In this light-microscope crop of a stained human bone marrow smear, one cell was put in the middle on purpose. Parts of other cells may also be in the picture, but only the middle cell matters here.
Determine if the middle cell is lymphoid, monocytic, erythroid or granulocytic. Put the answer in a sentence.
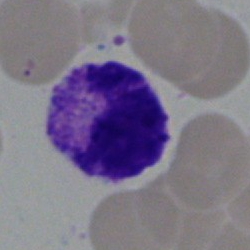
The middle cell of the crop belongs with the cells of the granulocytic lineage.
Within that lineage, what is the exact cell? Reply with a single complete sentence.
The middle of this crop holds a basophil.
